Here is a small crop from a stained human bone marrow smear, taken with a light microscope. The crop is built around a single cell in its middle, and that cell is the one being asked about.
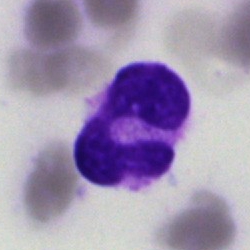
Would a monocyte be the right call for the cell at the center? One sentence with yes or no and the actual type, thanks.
No, the middle cell is classified as a segmented neutrophil and not as a monocyte.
